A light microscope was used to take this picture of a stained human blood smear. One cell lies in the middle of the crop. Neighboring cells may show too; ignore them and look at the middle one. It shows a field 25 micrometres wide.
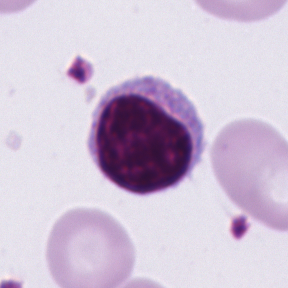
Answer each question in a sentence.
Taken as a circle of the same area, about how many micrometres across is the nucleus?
The nucleus is about 8 micrometres across.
